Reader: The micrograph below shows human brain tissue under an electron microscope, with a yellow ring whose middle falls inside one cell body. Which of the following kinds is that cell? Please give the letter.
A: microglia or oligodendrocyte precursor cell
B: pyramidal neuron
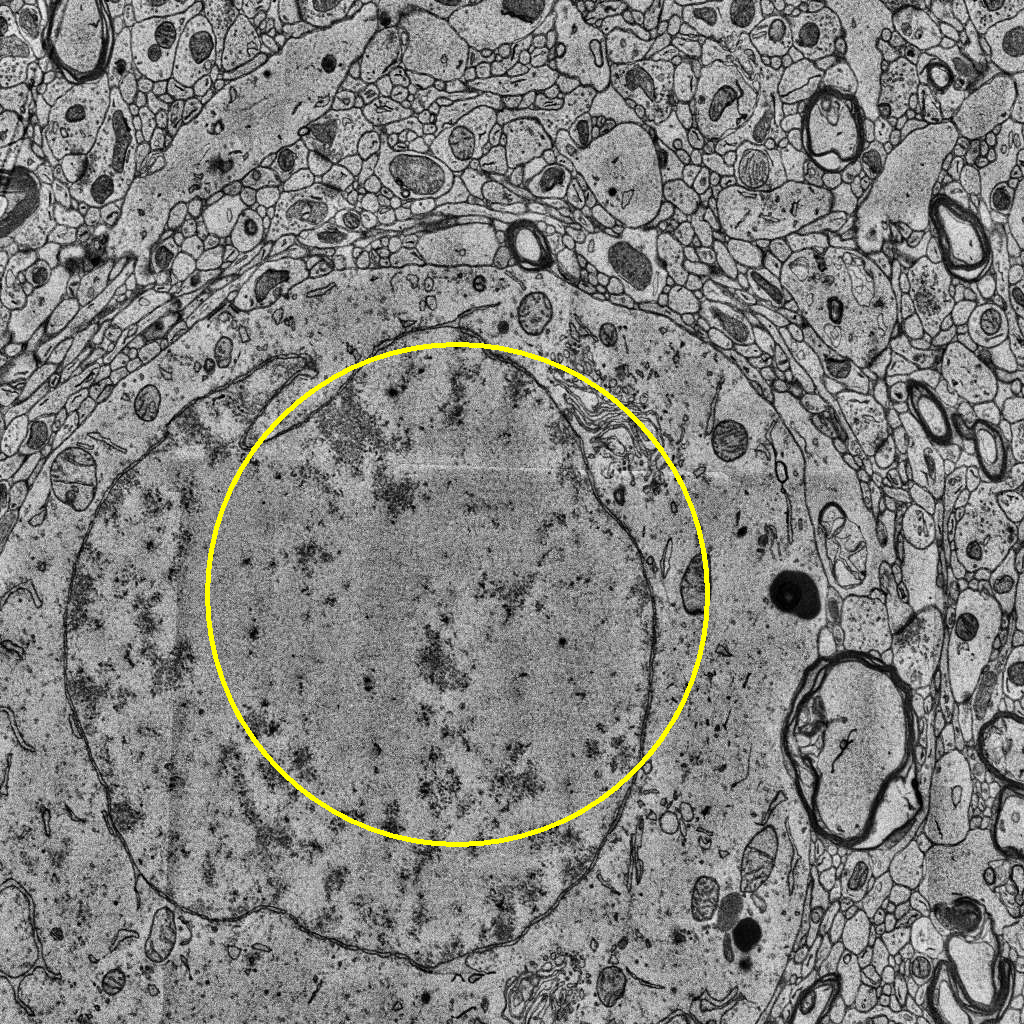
B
